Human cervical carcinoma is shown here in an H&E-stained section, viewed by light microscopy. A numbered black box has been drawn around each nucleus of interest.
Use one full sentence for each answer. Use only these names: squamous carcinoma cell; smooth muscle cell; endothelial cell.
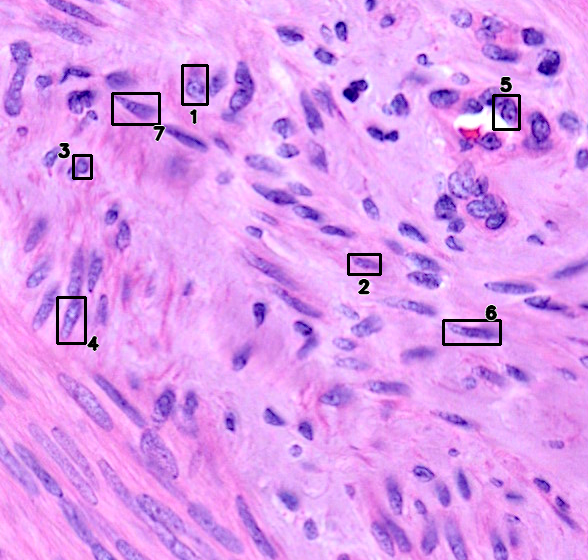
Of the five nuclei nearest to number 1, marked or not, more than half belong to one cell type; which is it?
The majority of the five nuclei closest to number 1 belong to smooth muscle cells.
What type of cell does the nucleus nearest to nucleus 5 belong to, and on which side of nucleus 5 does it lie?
An endothelial cell lies closest, above and to the left of nucleus 5.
